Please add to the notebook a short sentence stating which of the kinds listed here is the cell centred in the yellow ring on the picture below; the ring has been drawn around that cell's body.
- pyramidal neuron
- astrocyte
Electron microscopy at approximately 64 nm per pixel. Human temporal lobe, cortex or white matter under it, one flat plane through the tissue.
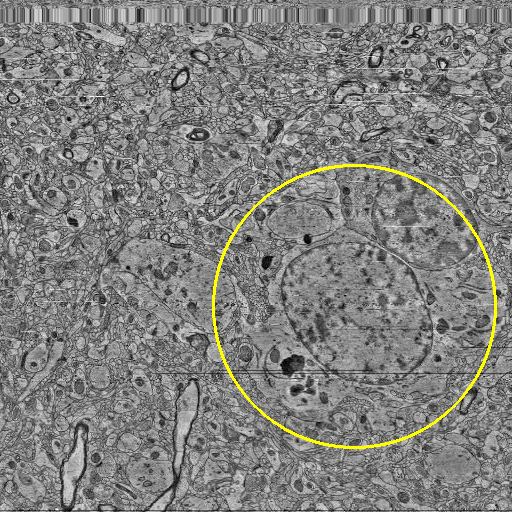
The cell centred in the yellow ring is an astrocyte.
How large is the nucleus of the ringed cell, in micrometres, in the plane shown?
Roughly 11 by 8 micrometres is the size of the nucleus in this plane.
